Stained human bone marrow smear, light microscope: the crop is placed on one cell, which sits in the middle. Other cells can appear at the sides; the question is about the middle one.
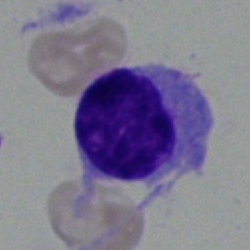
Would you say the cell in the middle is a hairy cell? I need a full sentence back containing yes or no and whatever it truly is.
Yes, the cell shown at the crop's centre is a hairy cell.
